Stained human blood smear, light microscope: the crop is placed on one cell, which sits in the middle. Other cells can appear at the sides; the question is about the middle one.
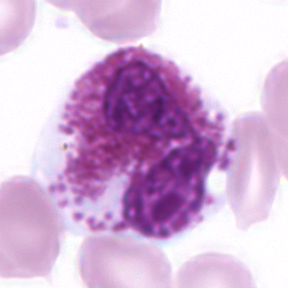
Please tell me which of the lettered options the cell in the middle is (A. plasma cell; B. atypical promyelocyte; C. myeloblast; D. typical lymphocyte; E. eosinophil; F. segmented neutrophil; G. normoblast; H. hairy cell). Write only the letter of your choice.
E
